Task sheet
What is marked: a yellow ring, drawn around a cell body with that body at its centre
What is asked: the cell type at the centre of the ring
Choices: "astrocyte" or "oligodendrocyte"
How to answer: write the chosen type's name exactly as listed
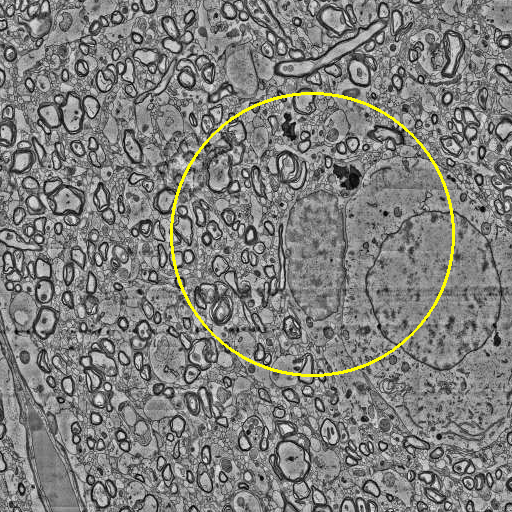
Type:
oligodendrocyte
